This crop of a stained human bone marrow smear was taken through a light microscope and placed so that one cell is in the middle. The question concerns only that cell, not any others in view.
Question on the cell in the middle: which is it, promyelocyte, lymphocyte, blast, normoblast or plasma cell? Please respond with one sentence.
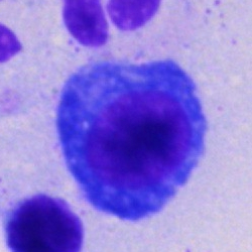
Of the cells in this crop, the central one is a plasma cell.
